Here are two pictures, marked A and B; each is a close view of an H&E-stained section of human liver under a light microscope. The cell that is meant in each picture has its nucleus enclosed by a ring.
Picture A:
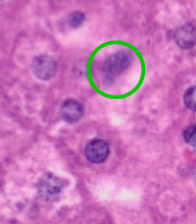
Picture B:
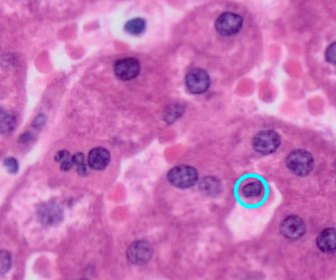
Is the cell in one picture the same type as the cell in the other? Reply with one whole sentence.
Yes; the cells in both pictures are Kupffer cells.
